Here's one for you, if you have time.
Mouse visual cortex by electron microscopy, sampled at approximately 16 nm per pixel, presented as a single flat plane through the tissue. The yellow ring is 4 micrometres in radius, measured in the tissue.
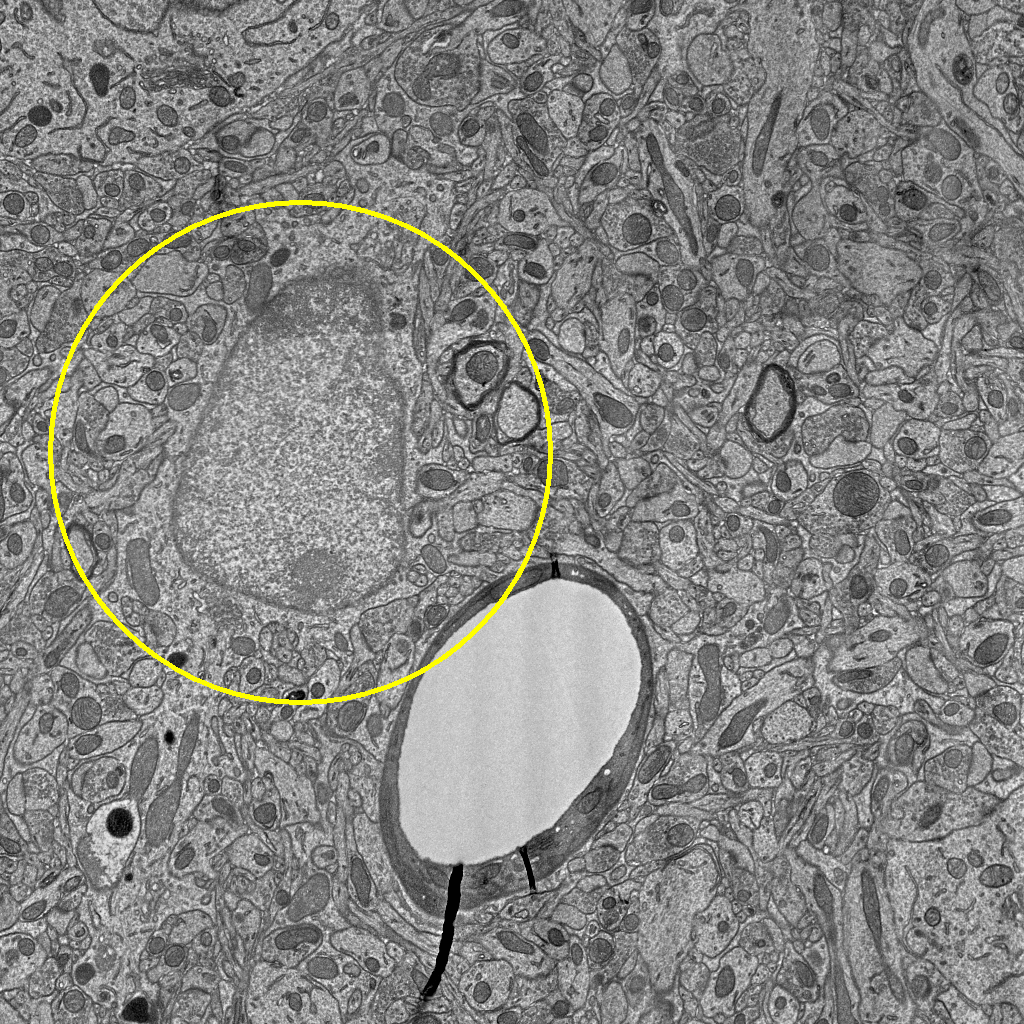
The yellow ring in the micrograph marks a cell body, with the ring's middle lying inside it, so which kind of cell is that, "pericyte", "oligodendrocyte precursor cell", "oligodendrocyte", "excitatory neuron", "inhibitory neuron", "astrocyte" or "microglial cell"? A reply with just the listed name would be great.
astrocyte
